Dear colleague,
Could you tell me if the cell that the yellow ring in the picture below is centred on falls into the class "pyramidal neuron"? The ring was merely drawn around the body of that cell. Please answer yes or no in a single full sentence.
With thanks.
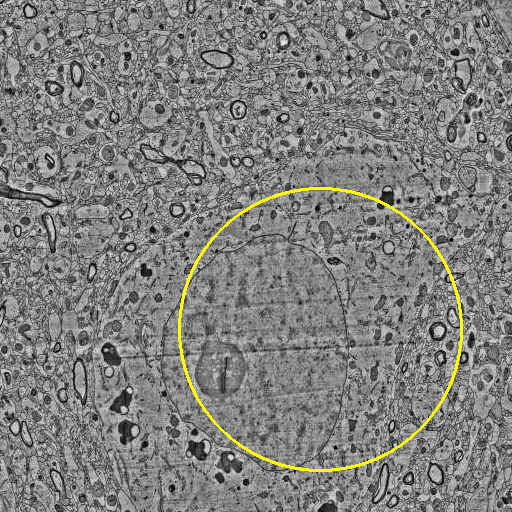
Yes, the cell on which the ring in your picture is centred falls into that class.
